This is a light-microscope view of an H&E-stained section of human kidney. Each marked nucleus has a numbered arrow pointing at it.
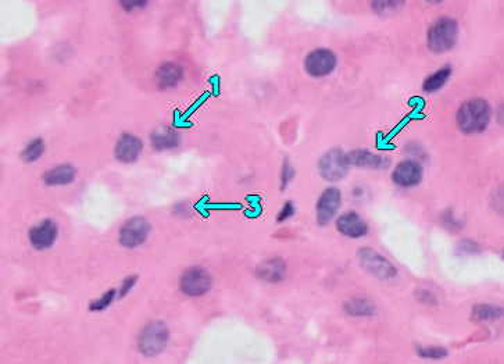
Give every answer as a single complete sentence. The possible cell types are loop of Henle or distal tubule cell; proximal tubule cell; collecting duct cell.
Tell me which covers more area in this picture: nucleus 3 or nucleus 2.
Nucleus 2 covers more area, about 1.5 times as much as nucleus 3.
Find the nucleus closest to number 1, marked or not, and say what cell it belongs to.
The cell nearest to number 1 is a loop of Henle or distal tubule cell.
